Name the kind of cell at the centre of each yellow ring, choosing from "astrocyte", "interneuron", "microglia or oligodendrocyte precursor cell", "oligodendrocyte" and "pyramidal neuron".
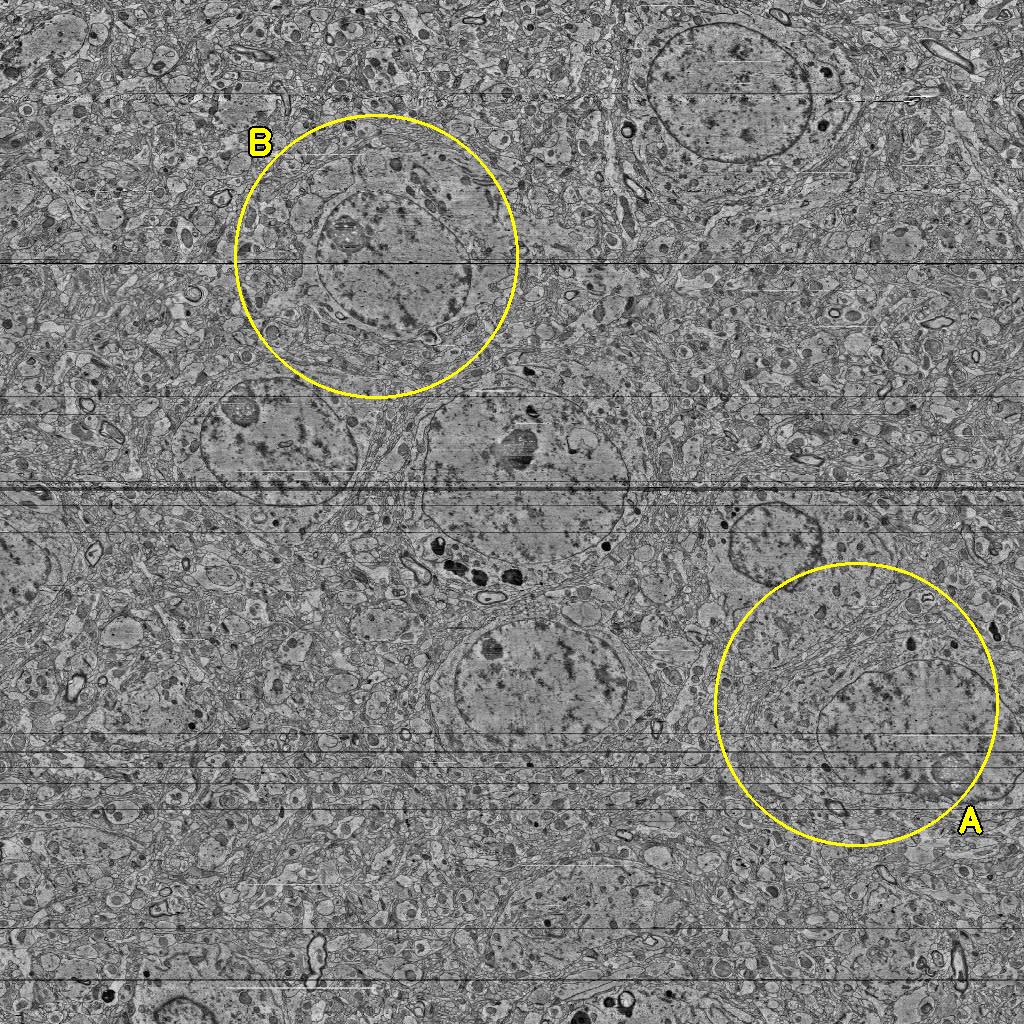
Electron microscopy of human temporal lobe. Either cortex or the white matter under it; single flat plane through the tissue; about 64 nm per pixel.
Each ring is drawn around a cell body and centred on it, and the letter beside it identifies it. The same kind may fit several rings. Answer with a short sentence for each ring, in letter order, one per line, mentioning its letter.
Ring A is drawn around a pyramidal neuron.
Ring B is drawn around an astrocyte.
